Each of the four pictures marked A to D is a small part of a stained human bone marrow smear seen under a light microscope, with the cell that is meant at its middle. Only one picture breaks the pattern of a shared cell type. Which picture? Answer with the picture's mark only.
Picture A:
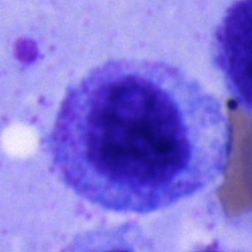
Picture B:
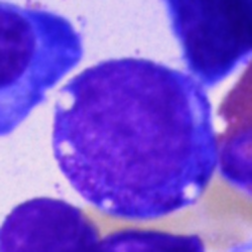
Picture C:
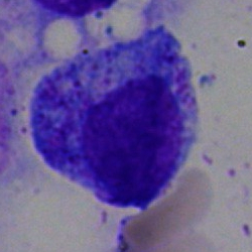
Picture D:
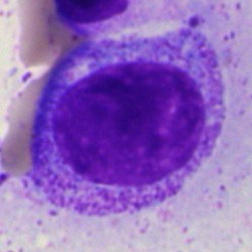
D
